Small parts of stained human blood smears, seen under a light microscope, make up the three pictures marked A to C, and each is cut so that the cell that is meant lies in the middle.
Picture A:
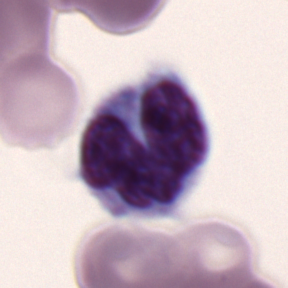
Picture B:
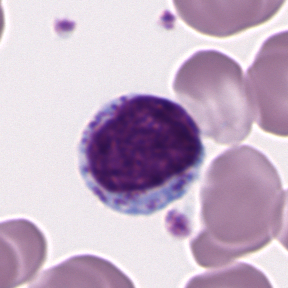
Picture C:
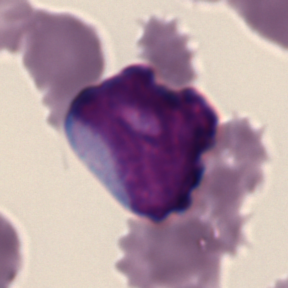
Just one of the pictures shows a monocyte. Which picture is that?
A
